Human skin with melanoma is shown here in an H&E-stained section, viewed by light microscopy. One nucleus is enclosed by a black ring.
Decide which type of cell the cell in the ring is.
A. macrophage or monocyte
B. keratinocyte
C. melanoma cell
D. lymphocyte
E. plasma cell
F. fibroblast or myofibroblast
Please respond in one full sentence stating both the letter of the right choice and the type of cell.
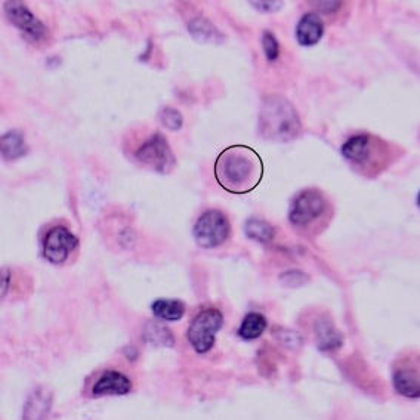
That the cell in the ring is a macrophage or monocyte makes option A the correct choice.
